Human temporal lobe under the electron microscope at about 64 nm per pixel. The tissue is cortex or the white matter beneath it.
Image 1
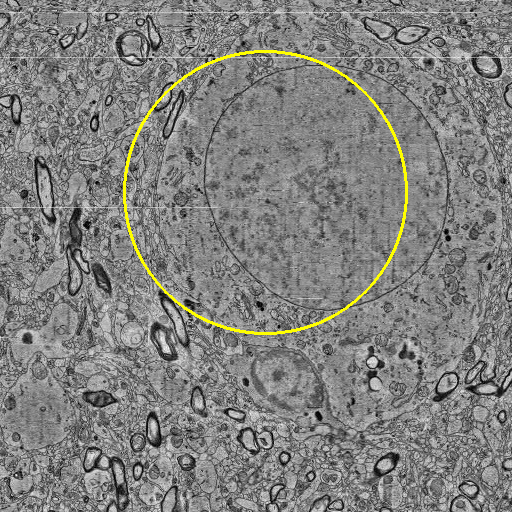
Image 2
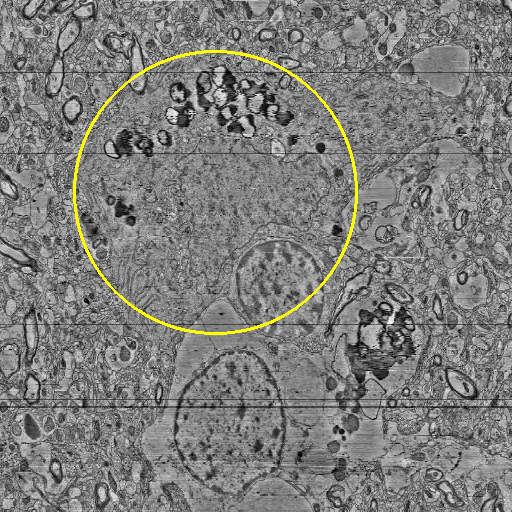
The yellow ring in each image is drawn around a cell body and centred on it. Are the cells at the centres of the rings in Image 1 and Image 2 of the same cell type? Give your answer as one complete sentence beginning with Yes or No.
Yes, both cells are of the same type.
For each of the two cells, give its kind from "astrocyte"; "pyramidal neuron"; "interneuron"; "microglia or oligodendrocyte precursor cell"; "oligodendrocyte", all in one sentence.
In each of the two pictures, the ringed cell is a pyramidal neuron.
